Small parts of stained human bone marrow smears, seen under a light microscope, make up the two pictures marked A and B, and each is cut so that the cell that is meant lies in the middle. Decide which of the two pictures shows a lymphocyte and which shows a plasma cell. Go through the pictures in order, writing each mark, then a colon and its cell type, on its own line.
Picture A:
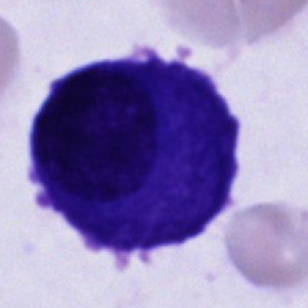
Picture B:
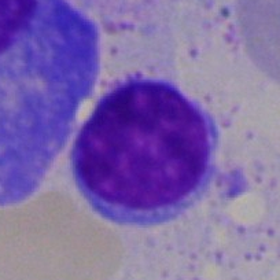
A: plasma cell
B: lymphocyte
